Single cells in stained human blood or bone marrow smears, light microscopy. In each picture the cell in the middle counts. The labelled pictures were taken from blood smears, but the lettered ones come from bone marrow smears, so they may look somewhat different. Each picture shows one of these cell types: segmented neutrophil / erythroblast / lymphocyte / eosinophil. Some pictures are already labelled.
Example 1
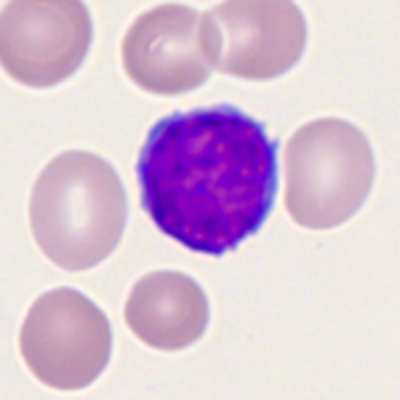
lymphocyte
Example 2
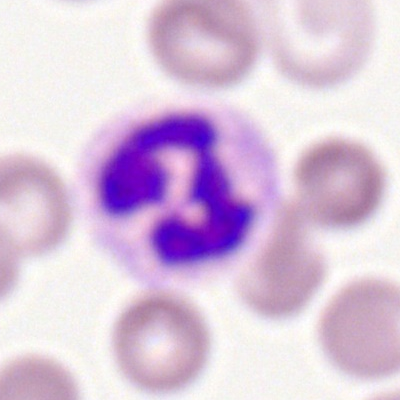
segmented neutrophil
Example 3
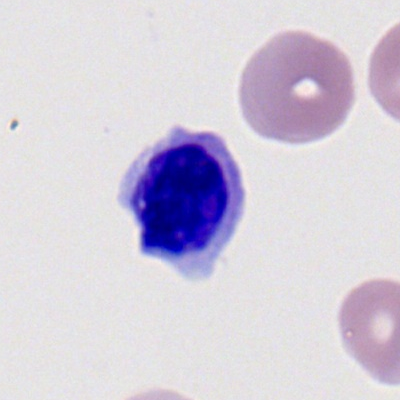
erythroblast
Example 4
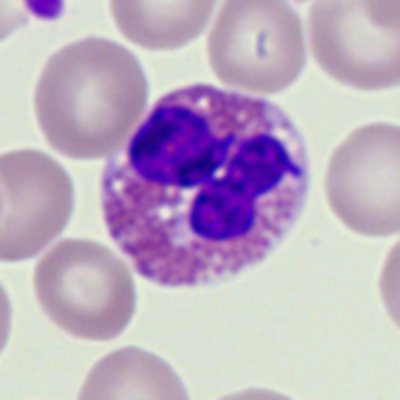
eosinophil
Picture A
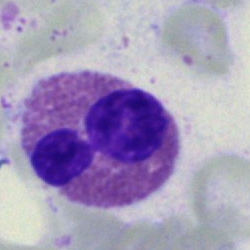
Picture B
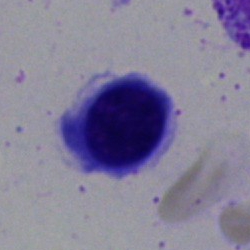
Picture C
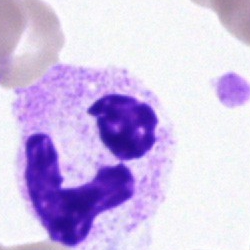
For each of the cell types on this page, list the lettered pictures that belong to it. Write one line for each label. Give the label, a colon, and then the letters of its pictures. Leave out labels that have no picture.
segmented neutrophil: C
erythroblast: B
eosinophil: A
